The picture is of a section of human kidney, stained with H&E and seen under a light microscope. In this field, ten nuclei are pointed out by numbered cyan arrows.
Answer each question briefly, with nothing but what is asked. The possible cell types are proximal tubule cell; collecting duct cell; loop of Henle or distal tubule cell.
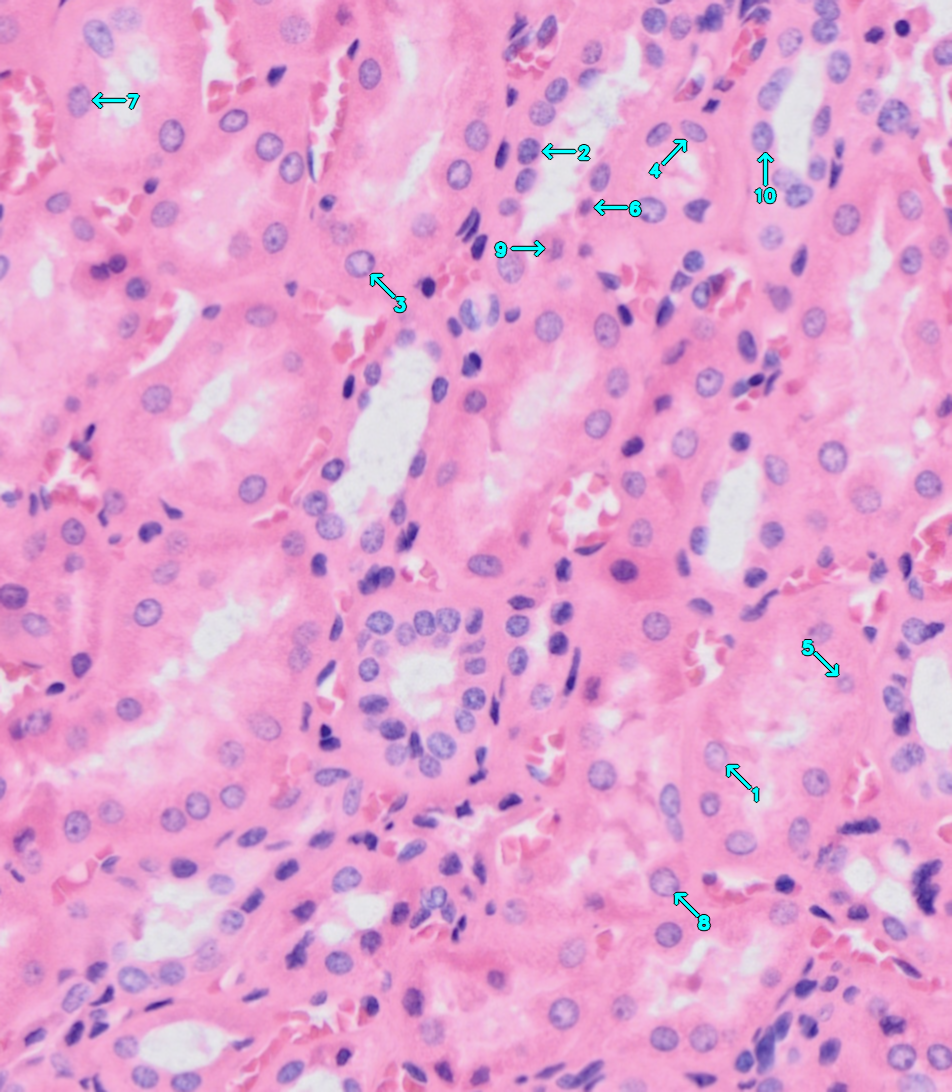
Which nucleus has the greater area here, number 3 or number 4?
3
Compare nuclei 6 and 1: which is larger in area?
1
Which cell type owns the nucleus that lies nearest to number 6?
loop of Henle or distal tubule cell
